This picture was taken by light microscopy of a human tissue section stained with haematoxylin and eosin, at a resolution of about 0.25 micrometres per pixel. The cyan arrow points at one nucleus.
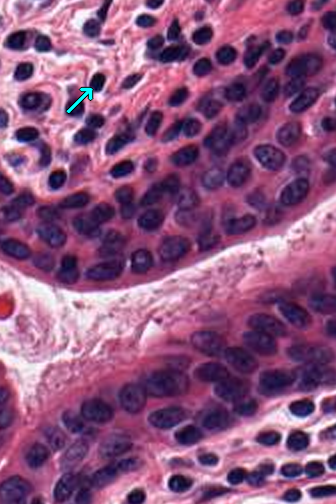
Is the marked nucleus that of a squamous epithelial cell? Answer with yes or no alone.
no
